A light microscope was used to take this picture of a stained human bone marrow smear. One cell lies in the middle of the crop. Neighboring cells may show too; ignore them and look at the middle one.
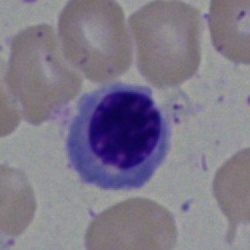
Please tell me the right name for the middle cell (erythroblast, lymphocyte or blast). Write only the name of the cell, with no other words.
erythroblast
